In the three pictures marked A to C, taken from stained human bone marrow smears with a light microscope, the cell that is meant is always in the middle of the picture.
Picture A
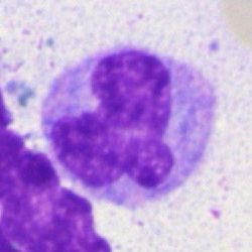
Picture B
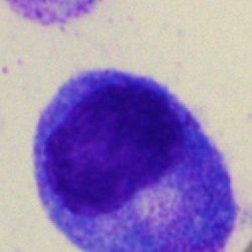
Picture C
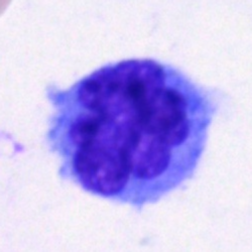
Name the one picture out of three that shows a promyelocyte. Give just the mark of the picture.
B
